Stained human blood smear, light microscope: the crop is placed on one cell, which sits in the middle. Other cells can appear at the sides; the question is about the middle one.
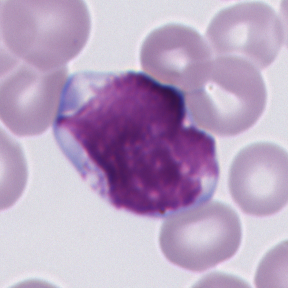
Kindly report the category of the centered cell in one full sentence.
For this crop, the cell in the middle is a large granular lymphocyte.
